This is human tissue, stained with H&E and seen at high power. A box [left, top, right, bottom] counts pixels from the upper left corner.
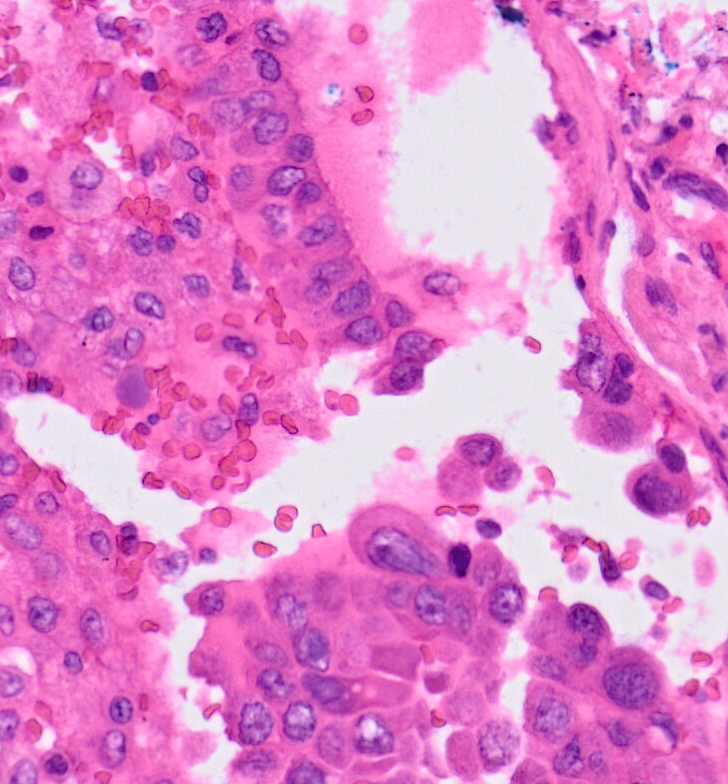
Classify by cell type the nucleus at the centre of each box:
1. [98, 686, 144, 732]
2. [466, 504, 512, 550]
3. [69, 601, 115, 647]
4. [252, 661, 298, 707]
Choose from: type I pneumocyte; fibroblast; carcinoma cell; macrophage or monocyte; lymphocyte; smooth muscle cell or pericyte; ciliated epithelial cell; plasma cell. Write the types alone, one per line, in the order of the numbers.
macrophage or monocyte
lymphocyte
macrophage or monocyte
carcinoma cell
